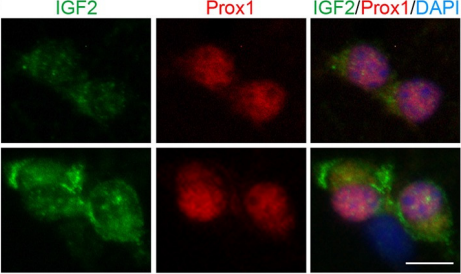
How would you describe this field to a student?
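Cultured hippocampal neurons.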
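A thin rim of cytoplasm around each nucleus carries granular green staining. In the lower row a further cell with only a blue nucleus and no red lies beside the pair.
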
